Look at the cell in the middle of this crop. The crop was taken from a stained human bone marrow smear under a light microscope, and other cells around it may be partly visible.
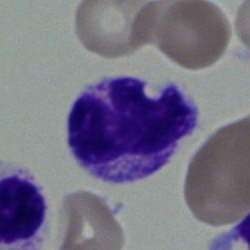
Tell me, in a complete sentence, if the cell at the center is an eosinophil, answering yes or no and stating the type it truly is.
No, instead of an eosinophil, the centred cell represents a segmented neutrophil.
